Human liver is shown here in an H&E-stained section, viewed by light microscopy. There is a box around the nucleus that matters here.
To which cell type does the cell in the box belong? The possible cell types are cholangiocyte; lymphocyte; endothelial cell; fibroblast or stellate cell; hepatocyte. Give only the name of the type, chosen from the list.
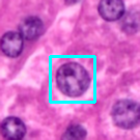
hepatocyte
